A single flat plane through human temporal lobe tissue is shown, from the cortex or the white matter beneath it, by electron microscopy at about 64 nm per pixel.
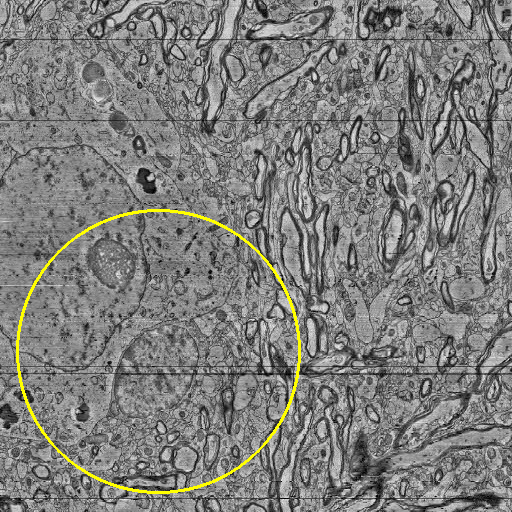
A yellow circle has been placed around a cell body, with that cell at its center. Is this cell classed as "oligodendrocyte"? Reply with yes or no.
Yes, it belongs to that class.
